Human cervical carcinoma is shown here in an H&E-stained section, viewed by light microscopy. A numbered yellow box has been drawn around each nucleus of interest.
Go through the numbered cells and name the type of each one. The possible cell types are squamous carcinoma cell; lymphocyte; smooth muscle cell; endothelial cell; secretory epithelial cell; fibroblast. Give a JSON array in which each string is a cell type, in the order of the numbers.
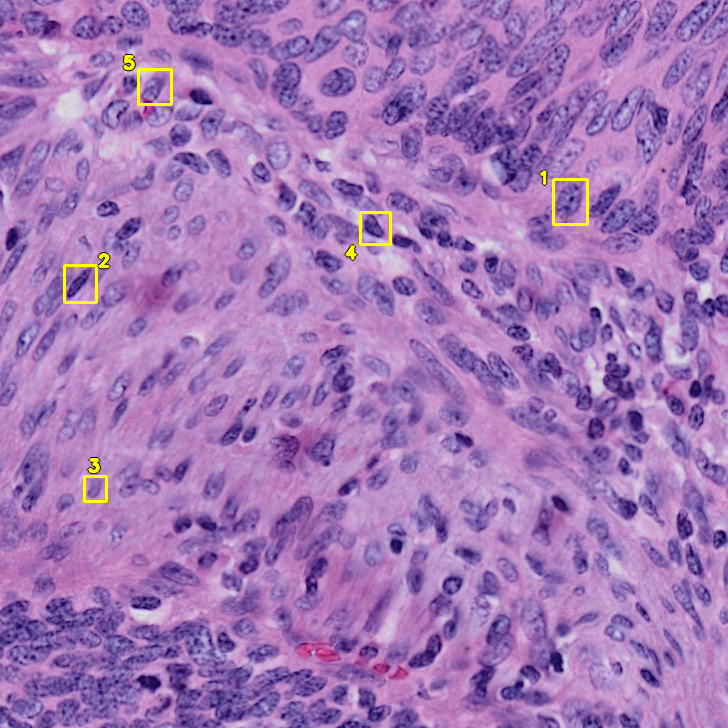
["squamous carcinoma cell", "lymphocyte", "smooth muscle cell", "lymphocyte", "endothelial cell"]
